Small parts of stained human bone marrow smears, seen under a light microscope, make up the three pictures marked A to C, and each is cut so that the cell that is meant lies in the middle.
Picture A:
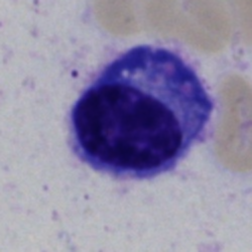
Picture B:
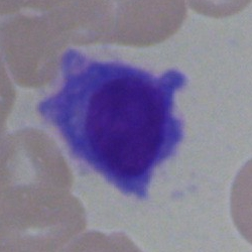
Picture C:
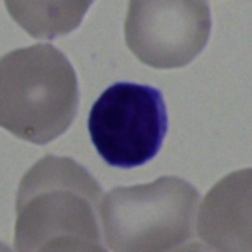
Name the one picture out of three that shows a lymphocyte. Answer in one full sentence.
Picture C shows the lymphocyte.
